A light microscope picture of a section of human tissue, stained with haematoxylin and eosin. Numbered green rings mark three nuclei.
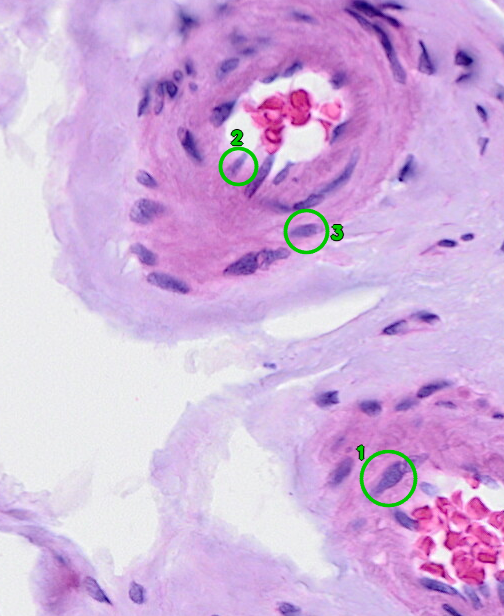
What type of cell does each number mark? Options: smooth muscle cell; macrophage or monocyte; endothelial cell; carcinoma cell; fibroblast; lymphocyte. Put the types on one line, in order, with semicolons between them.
smooth muscle cell; endothelial cell; smooth muscle cell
